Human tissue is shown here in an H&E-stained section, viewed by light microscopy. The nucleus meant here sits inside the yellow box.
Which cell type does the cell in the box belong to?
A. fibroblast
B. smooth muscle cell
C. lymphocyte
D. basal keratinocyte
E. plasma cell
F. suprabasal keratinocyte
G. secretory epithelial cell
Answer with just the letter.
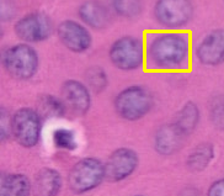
F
